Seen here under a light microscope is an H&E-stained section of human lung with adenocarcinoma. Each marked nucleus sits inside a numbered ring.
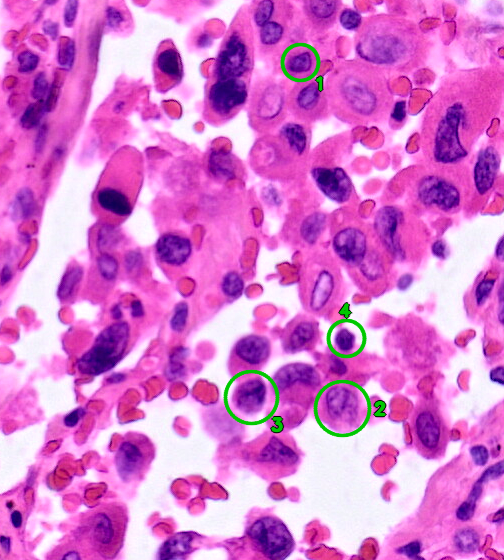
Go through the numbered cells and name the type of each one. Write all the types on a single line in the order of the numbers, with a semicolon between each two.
macrophage or monocyte; carcinoma cell; carcinoma cell; lymphocyte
